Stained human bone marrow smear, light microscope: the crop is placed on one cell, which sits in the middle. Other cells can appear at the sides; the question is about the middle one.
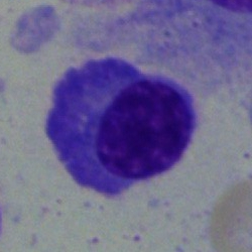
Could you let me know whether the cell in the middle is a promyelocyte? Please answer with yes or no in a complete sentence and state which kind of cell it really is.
No, the centre of the crop contains a plasma cell rather than a promyelocyte.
